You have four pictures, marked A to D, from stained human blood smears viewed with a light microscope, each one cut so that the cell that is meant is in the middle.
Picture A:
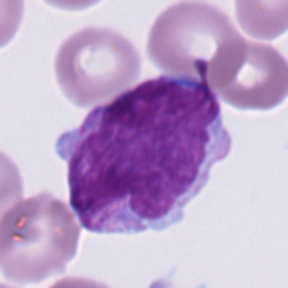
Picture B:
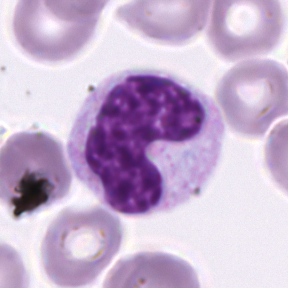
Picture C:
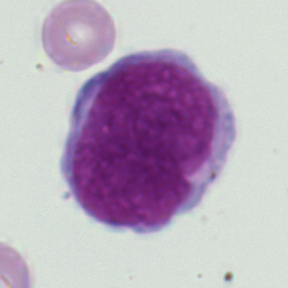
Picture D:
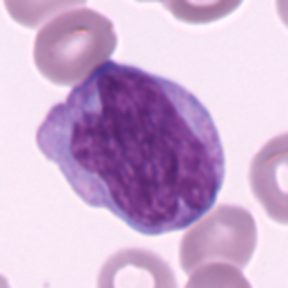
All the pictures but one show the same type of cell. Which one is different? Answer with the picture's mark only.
B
